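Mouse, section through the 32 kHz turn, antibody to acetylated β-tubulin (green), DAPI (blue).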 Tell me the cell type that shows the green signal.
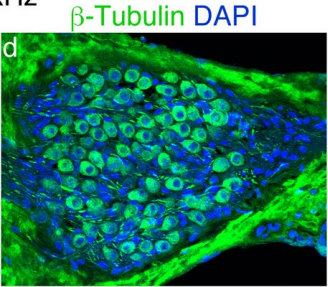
neurons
